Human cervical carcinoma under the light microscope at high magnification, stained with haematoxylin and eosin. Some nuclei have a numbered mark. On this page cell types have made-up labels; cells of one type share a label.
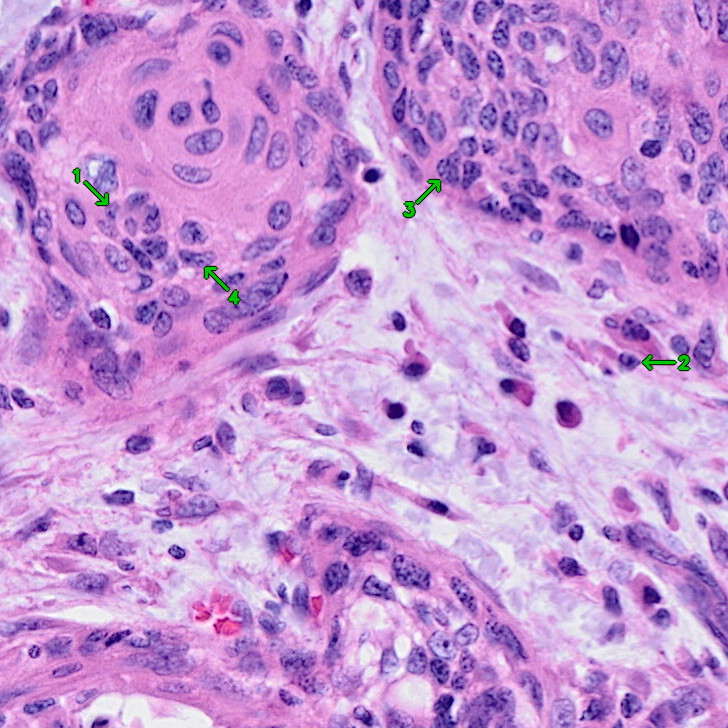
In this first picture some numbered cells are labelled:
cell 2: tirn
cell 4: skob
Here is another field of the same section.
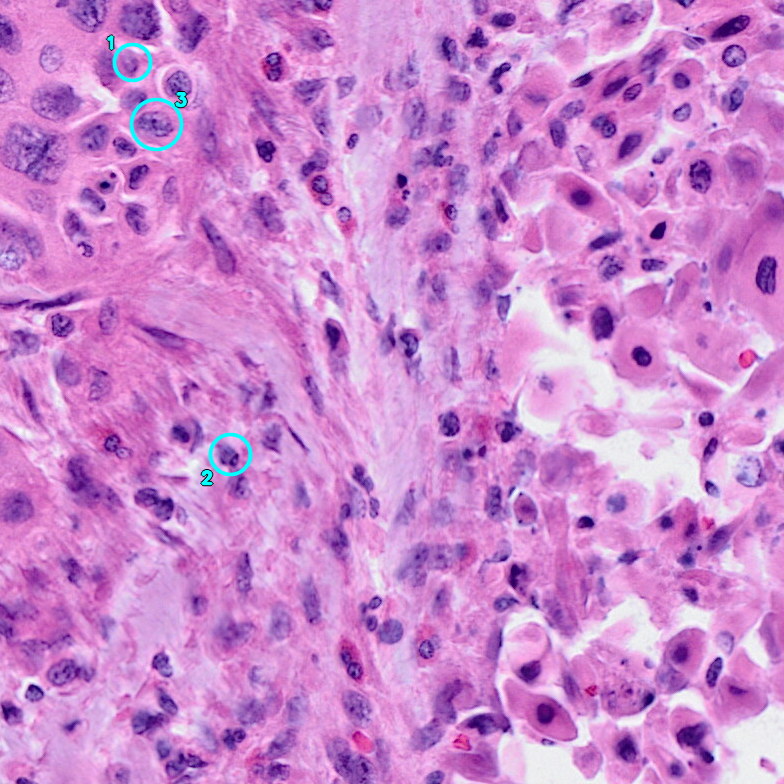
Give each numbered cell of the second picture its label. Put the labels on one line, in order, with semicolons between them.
skob; tirn; skob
